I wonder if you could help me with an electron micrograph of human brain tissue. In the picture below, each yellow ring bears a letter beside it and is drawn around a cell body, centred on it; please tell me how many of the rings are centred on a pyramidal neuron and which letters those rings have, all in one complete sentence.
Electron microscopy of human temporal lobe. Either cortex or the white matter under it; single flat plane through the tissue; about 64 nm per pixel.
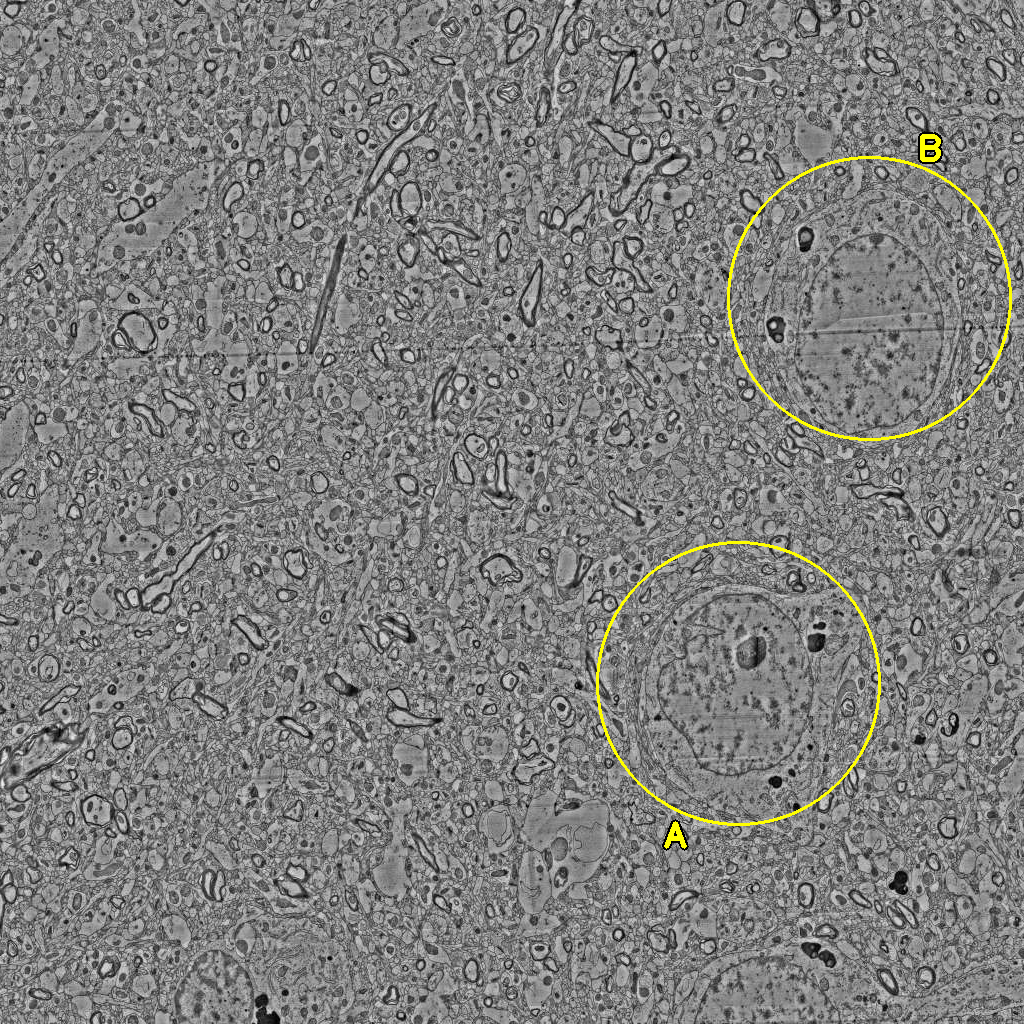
Each centred on a pyramidal neuron, the rings with the letters A and B amount to two.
